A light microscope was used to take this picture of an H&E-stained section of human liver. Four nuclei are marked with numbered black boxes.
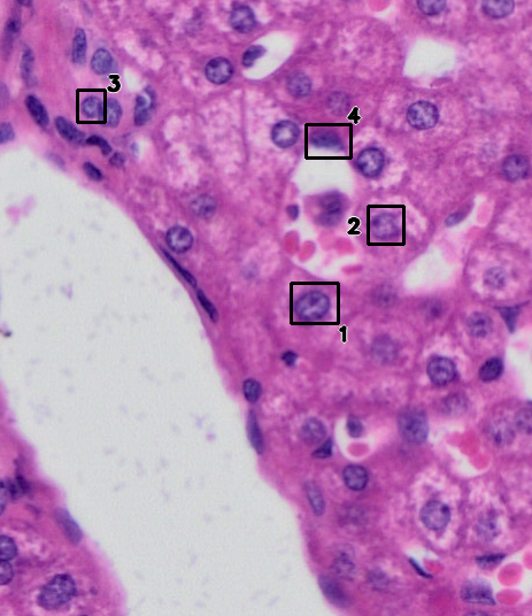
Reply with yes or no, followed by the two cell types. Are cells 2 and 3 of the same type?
No, cell 2 is a hepatocyte and cell 3 is a cholangiocyte.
